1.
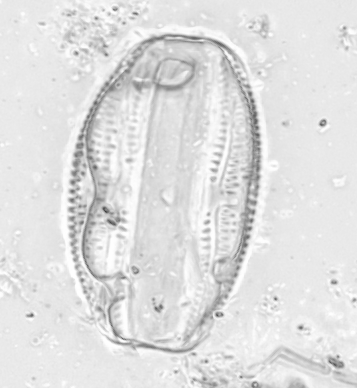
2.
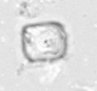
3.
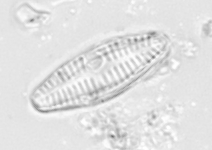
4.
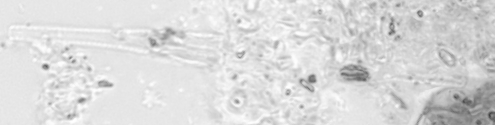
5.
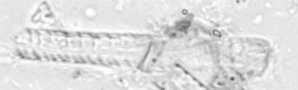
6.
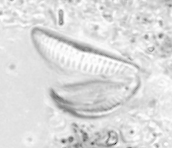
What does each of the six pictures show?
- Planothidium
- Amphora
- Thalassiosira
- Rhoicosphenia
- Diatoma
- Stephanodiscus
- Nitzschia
1: Amphora
2: Thalassiosira
3: Planothidium
4: Nitzschia
5: Diatoma
6: Amphora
